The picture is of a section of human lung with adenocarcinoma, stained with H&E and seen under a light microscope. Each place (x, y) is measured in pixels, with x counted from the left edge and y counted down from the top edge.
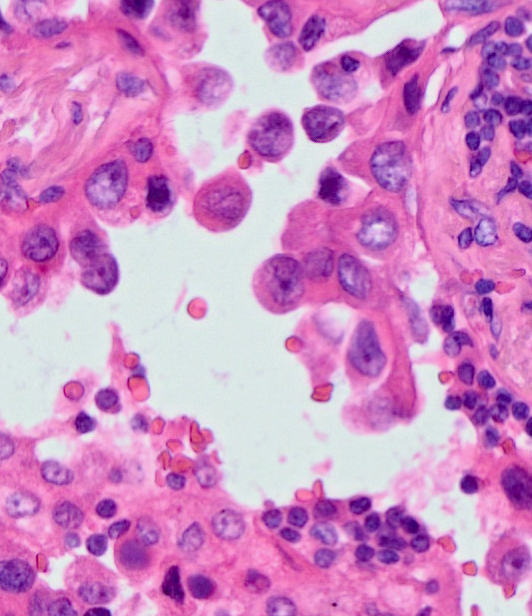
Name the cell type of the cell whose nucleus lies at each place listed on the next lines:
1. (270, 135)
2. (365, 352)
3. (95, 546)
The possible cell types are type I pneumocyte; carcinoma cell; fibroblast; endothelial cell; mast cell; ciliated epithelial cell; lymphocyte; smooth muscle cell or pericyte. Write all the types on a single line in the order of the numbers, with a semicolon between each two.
carcinoma cell; carcinoma cell; lymphocyte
